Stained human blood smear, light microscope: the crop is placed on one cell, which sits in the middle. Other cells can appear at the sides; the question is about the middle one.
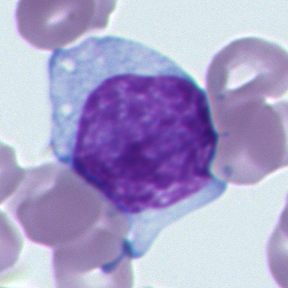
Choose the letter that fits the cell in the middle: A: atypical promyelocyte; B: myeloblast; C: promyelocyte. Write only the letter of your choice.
B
